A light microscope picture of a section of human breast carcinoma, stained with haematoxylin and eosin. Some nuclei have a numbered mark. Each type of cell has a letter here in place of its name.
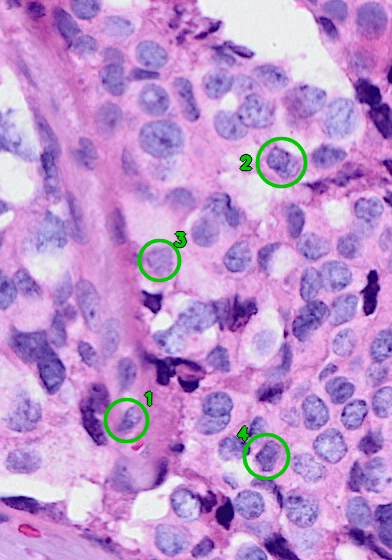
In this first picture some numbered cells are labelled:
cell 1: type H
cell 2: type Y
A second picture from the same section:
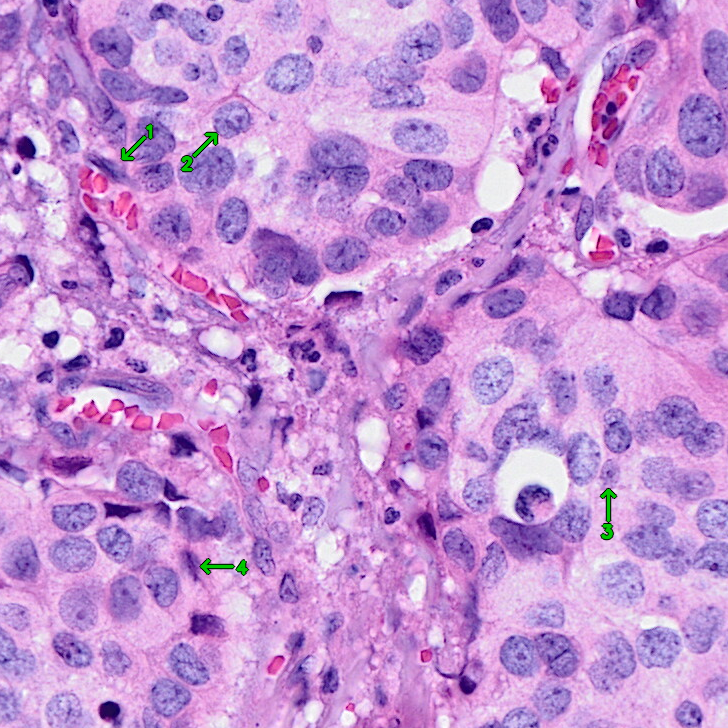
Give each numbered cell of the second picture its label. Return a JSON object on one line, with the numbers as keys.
{"1": "type H", "2": "type Y", "3": "type Y", "4": "type Y"}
